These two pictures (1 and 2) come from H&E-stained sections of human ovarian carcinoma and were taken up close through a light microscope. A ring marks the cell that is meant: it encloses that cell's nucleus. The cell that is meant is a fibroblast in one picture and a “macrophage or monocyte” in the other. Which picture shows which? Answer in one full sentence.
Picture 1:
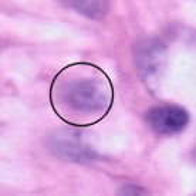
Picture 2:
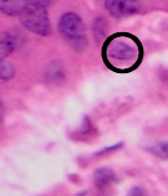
Picture 1 is of a fibroblast, and picture 2 is of a “macrophage or monocyte”.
